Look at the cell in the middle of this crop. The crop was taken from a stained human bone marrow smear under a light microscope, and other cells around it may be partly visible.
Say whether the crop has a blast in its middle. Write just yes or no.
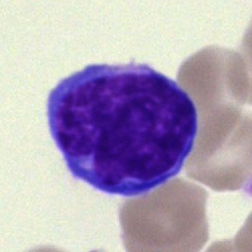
yes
